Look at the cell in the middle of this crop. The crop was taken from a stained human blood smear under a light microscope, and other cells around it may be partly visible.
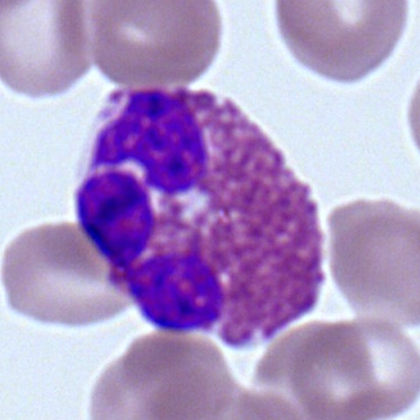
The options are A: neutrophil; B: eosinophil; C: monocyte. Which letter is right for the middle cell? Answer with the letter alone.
B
